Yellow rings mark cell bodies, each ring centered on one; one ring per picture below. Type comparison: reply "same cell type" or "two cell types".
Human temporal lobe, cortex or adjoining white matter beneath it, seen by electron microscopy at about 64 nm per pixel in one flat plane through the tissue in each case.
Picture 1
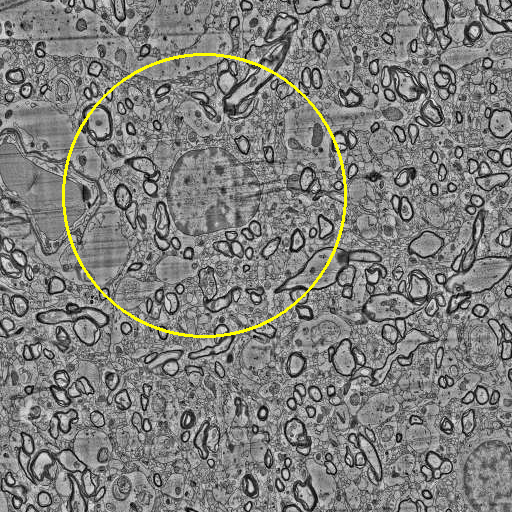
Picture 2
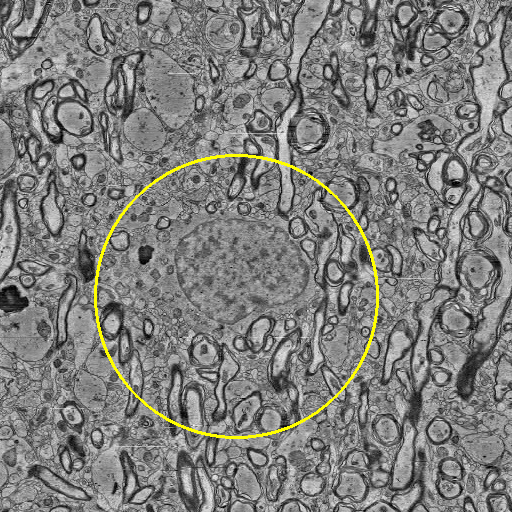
two cell types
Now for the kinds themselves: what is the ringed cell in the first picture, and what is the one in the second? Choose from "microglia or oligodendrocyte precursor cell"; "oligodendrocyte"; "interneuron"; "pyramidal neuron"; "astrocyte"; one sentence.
Here the first cell is a microglial cell or oligodendrocyte precursor cell and the second cell is an oligodendrocyte.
